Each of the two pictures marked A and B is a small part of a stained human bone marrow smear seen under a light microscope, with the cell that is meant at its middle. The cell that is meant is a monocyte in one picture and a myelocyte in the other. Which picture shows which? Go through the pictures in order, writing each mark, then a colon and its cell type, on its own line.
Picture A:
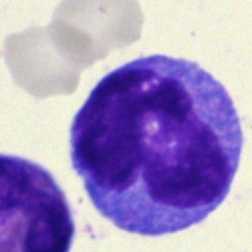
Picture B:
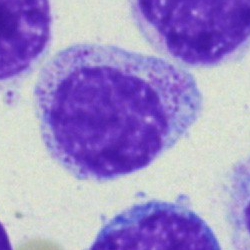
A: monocyte
B: myelocyte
